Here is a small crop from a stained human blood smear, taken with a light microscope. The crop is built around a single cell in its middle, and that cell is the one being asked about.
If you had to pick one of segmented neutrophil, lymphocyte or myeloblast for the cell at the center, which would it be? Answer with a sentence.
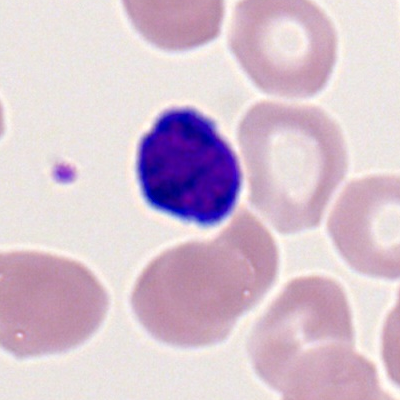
The cell at the heart of this crop is a lymphocyte.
